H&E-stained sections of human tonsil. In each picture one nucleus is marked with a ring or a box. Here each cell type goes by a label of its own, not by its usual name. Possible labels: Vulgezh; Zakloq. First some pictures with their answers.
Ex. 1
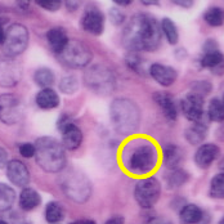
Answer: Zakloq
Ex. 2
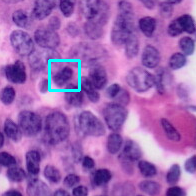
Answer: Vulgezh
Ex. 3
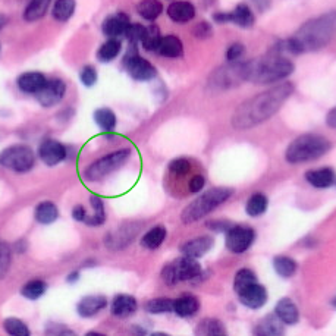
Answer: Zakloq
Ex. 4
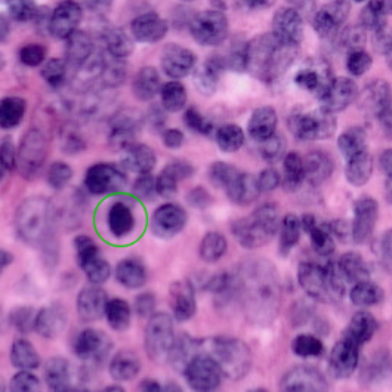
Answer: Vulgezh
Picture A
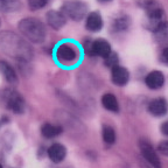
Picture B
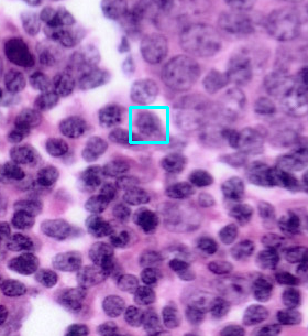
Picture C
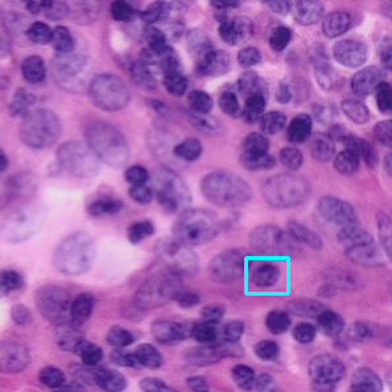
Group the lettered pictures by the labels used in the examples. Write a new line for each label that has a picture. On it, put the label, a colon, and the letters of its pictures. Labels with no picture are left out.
Vulgezh: B
Zakloq: A, C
